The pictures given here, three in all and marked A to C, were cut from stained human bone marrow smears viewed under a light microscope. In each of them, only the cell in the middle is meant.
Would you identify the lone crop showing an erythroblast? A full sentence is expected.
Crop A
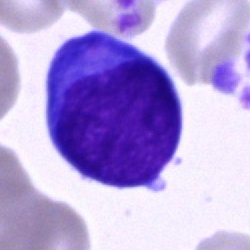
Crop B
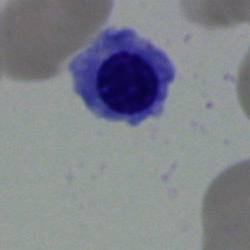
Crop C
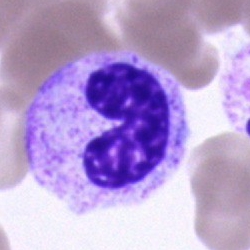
It is in crop B that an erythroblast is shown.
